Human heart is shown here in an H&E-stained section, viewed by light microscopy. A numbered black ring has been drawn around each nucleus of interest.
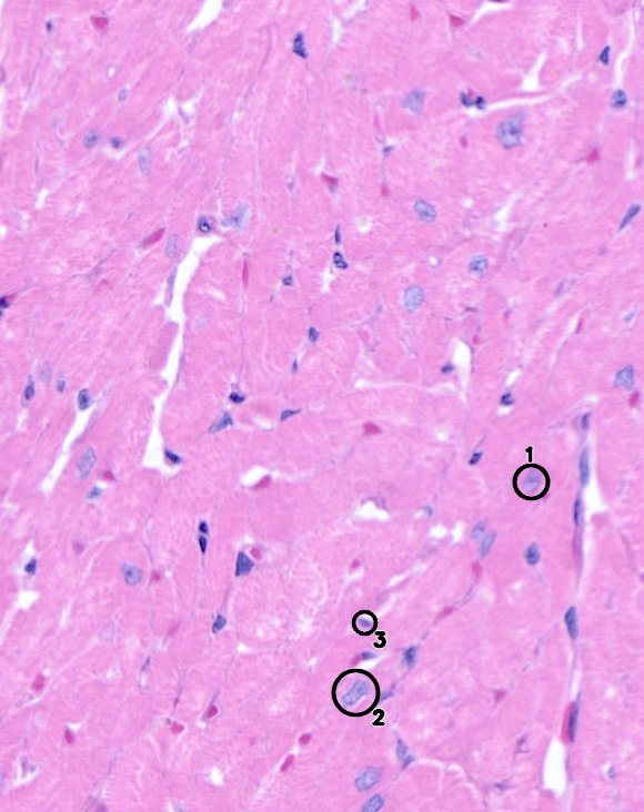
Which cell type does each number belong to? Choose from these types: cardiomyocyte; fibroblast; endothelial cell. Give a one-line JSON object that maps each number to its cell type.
{"1": "cardiomyocyte", "2": "cardiomyocyte", "3": "endothelial cell"}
